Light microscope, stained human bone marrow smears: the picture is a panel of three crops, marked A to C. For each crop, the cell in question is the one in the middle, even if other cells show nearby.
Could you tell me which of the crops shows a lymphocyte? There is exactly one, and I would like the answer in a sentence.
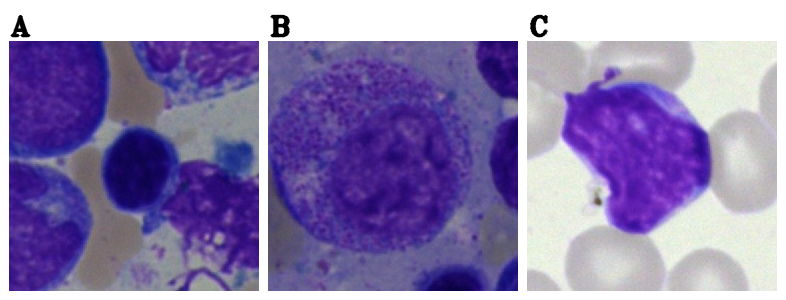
Within this set, crop A is the one with a lymphocyte at its center.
